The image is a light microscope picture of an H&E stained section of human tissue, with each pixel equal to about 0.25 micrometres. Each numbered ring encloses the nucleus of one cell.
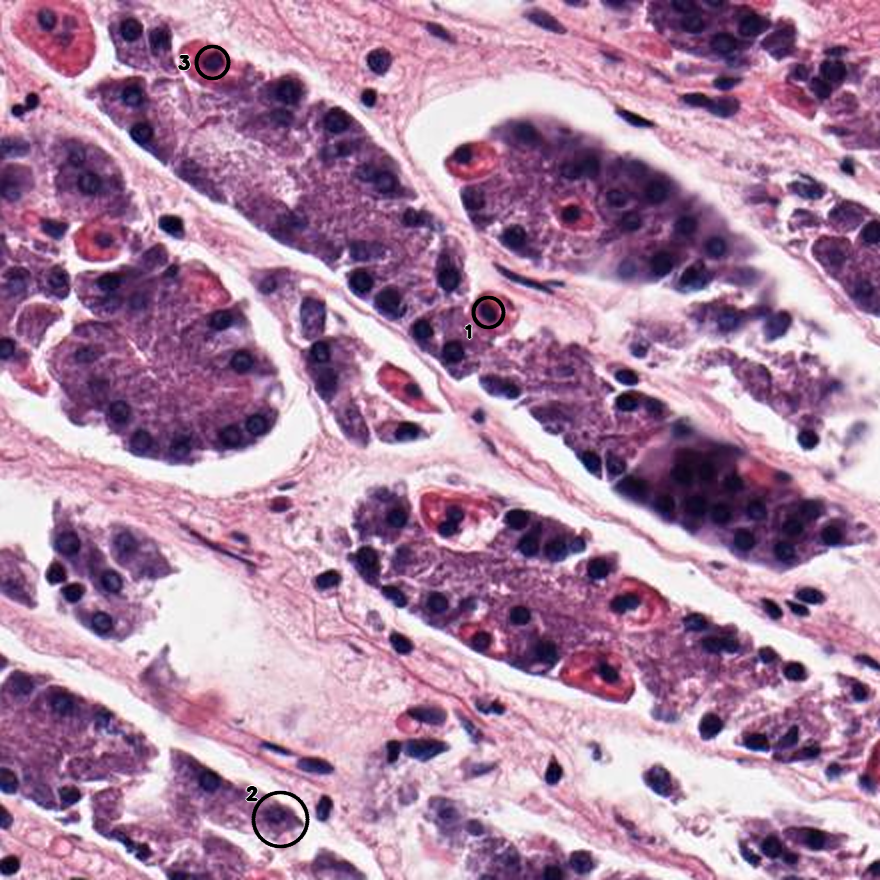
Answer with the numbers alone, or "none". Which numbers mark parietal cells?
1, 3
